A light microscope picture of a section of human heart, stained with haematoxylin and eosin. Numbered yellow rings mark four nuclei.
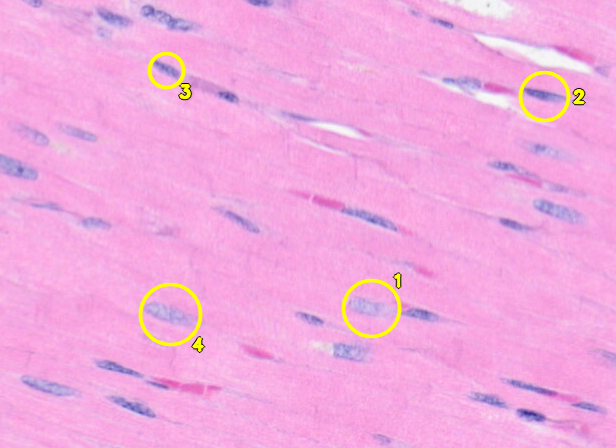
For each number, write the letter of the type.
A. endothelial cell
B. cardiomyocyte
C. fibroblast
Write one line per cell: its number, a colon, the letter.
1: B
2: C
3: C
4: B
